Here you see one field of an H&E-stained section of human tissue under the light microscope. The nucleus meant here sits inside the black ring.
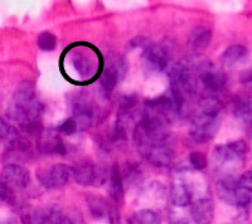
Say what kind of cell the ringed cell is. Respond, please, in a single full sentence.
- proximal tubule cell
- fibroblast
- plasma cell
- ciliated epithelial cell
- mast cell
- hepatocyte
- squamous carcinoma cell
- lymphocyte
In cell-type terms, the ringed cell is a ciliated epithelial cell.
